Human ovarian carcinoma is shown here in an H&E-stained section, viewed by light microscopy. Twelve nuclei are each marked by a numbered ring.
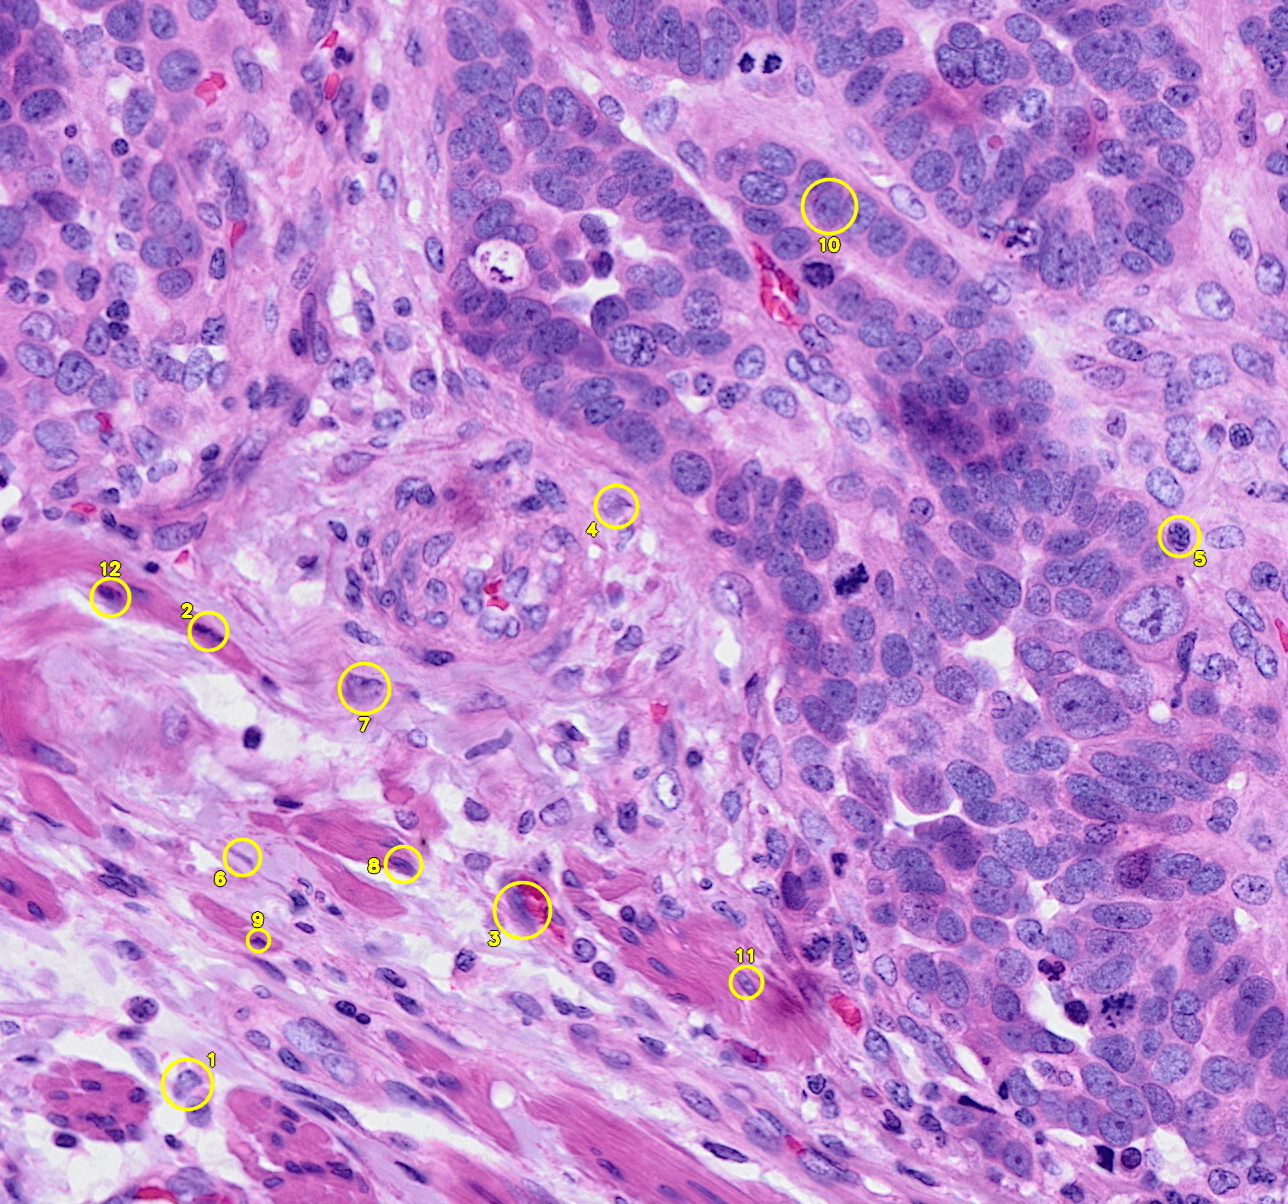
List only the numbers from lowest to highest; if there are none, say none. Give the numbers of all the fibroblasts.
4, 6, 7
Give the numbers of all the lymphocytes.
5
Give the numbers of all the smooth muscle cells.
2, 8, 9, 11, 12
